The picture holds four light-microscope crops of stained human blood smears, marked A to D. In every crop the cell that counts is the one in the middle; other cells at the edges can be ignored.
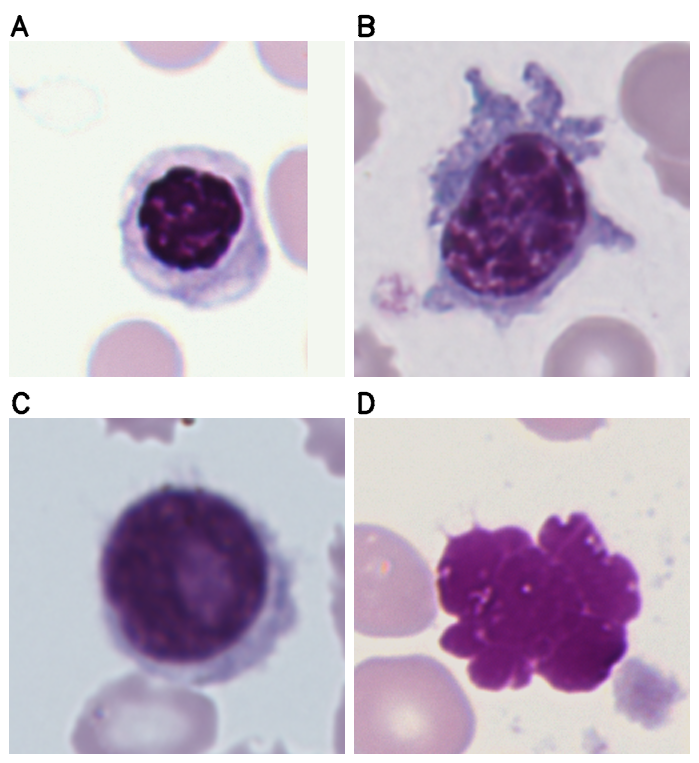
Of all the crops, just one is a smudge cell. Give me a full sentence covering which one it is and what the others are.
For crop D the cell is a smudge cell, while crop A is a normoblast, crop B is a plasma cell and crop C is a hairy cell.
